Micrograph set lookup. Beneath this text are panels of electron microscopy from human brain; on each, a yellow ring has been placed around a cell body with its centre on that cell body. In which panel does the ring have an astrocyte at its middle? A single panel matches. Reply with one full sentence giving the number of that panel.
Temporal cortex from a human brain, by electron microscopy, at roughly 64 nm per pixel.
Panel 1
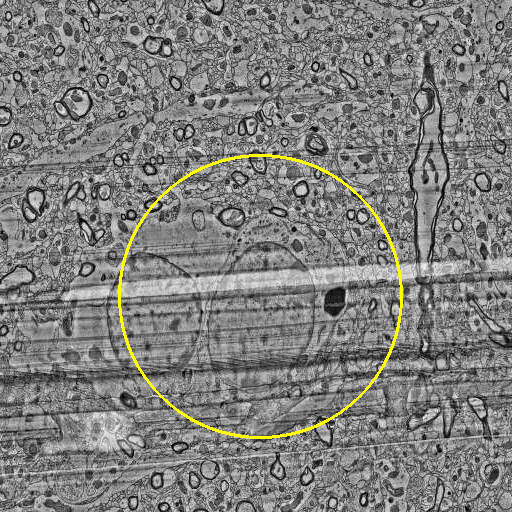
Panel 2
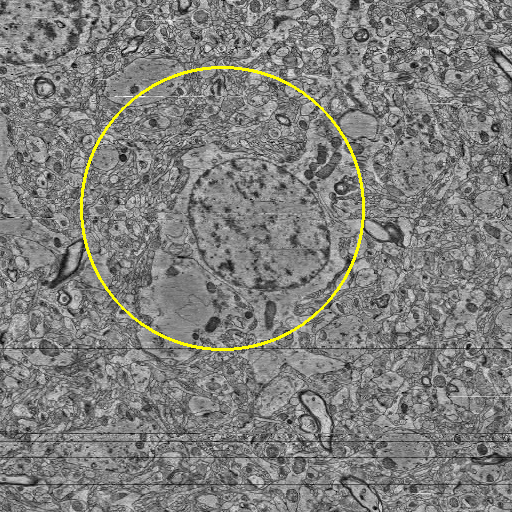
Panel 2 is the one whose ring has the sought cell at its centre.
